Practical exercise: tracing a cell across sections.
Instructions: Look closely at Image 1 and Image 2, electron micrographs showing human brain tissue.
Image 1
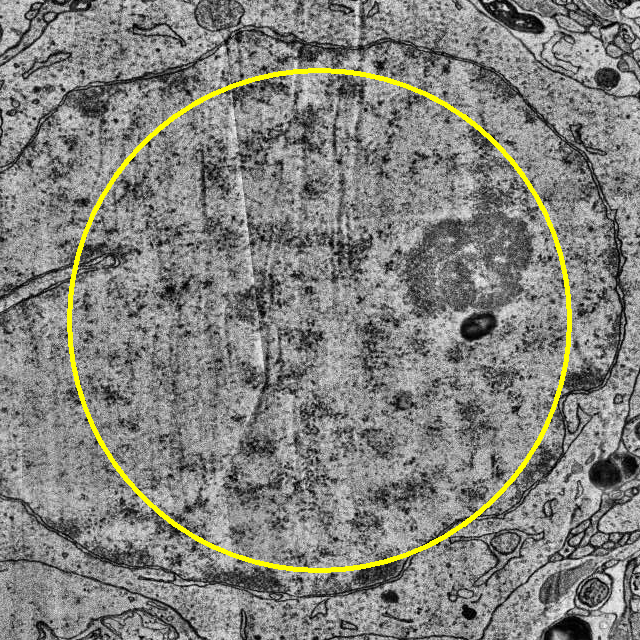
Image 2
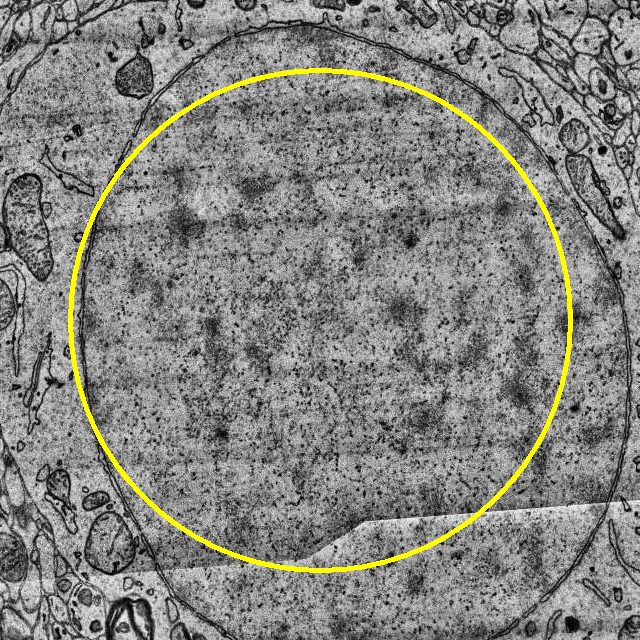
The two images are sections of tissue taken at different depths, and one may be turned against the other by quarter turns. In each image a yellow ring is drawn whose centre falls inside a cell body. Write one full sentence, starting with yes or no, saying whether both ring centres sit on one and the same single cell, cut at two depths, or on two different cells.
No, the ringed cells are two separate cells.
